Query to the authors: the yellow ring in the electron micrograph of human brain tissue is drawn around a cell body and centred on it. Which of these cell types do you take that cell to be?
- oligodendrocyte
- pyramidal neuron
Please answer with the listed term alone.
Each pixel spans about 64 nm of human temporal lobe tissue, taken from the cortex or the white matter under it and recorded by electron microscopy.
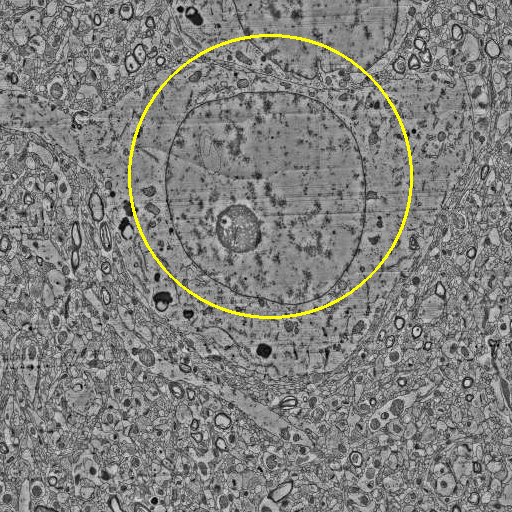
pyramidal neuron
